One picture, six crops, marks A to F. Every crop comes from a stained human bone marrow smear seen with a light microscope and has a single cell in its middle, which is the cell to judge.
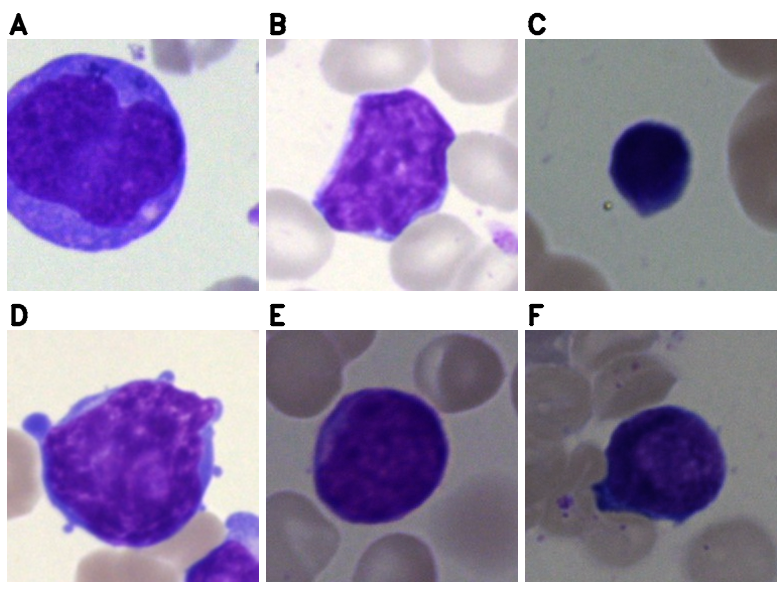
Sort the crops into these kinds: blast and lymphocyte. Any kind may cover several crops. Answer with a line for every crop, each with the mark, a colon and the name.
A: blast
B: blast
C: lymphocyte
D: blast
E: blast
F: lymphocyte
